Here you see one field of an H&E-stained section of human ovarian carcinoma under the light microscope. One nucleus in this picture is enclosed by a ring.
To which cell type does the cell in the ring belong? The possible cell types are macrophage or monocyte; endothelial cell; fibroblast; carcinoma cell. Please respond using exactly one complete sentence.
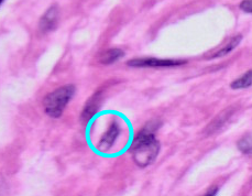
The identity of the cell in the ring is that of a fibroblast.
